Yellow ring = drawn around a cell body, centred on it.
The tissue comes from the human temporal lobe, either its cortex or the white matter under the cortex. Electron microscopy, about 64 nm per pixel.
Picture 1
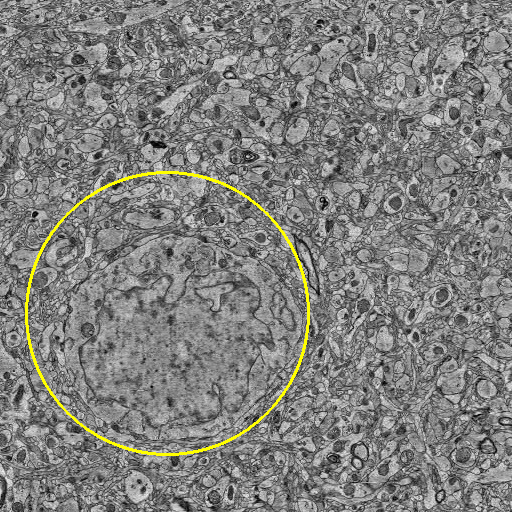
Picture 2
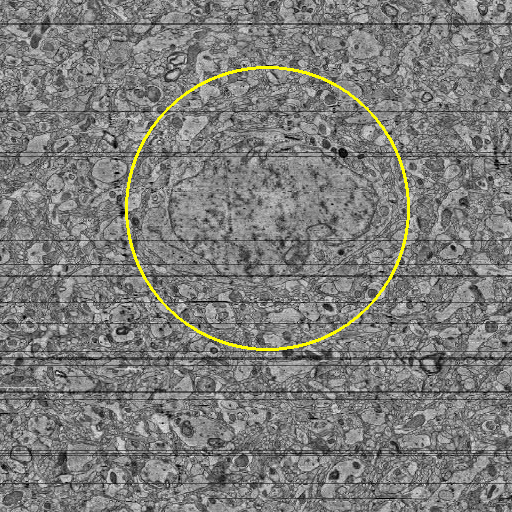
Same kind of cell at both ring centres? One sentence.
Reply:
Yes, they are the same kind of cell.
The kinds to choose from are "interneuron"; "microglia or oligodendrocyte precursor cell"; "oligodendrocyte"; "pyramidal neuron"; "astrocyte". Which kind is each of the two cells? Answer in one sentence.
Each of the ringed cells, first and second, is an interneuron.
